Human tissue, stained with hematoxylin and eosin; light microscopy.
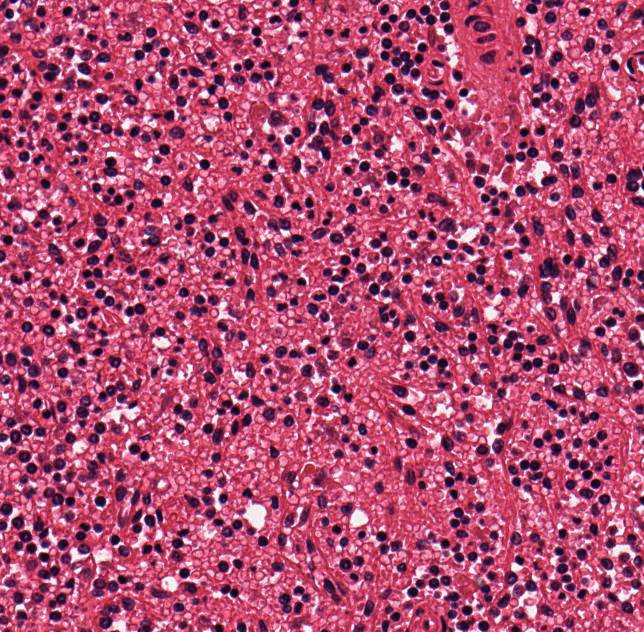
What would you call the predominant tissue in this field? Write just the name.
red pulp of the spleen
